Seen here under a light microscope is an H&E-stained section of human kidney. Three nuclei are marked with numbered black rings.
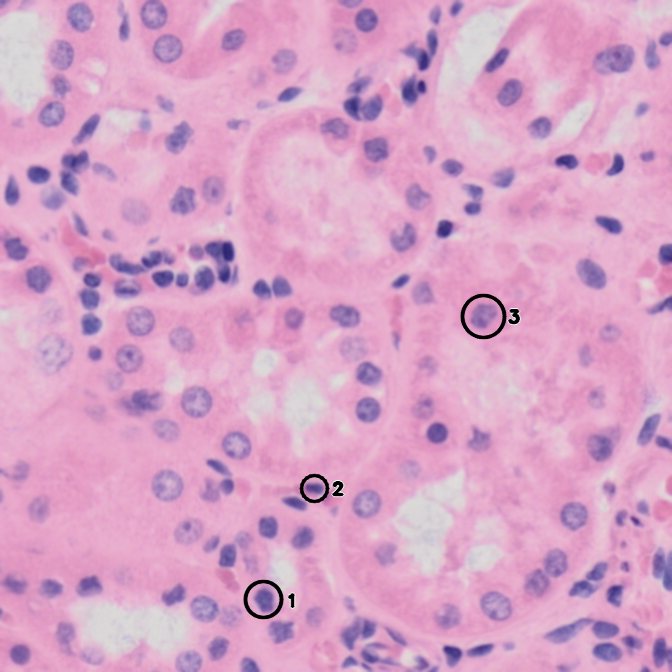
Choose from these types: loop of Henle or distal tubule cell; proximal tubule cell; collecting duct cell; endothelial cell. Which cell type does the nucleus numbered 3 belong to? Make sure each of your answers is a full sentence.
Here, the cell given the number 3 is a proximal tubule cell.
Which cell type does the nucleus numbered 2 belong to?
The identity of cell 2 is that of an endothelial cell.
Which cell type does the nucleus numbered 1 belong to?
Here, the cell given the number 1 is a loop of Henle or distal tubule cell.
